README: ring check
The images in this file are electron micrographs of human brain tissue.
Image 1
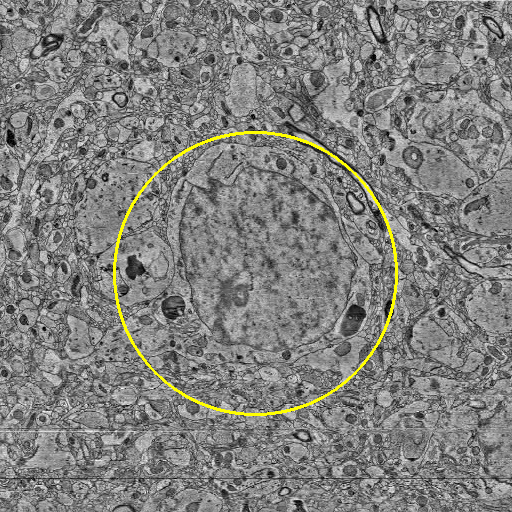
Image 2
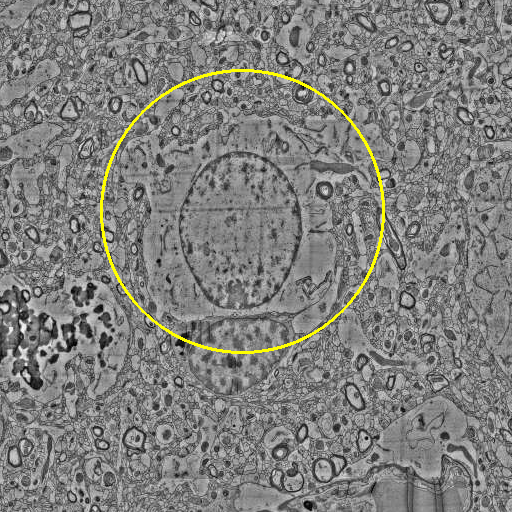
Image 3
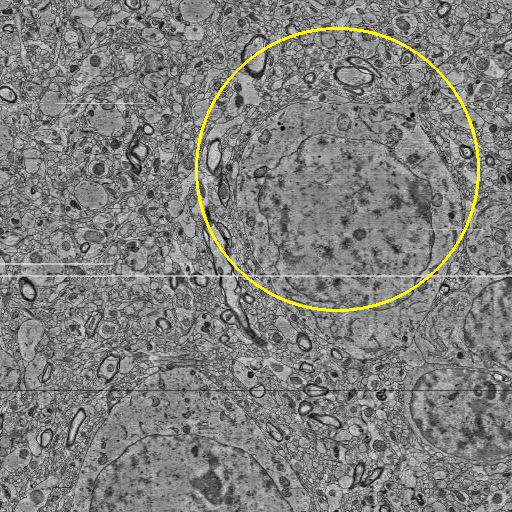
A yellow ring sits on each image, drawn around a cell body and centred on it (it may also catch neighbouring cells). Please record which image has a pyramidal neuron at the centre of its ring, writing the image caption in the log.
Image 3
